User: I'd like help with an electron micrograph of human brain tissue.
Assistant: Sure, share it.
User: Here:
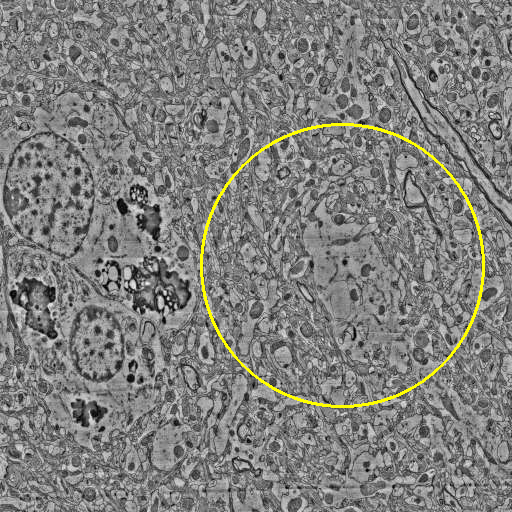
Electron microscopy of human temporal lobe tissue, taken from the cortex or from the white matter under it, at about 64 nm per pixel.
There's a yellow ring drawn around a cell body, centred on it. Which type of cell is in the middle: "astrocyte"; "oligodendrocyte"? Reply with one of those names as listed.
astrocyte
